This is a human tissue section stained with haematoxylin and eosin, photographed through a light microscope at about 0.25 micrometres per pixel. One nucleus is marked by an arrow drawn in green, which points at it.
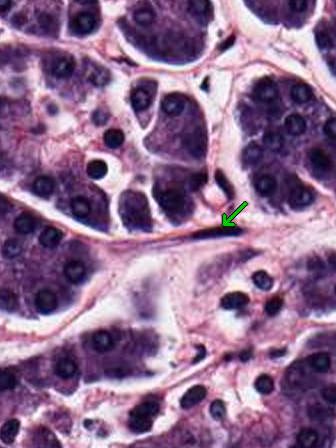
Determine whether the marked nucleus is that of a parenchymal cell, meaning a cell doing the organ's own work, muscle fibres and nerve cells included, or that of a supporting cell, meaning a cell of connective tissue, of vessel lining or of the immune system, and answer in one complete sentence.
The marked nucleus is attributed to a supporting cell.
